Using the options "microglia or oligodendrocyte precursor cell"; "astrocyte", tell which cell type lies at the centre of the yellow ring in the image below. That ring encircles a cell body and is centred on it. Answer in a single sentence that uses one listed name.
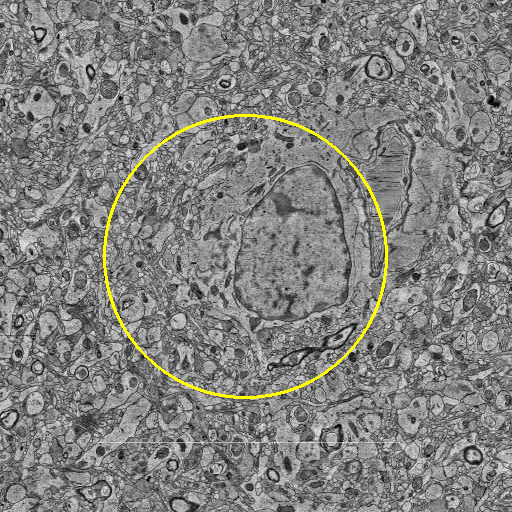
At the centre of the yellow ring lies the body of a microglial cell or oligodendrocyte precursor cell.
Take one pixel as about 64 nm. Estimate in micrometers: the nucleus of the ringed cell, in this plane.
Approximately 10 micrometres long and 8 micrometres wide, in this plane.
